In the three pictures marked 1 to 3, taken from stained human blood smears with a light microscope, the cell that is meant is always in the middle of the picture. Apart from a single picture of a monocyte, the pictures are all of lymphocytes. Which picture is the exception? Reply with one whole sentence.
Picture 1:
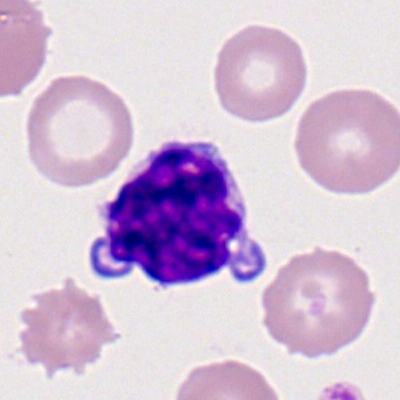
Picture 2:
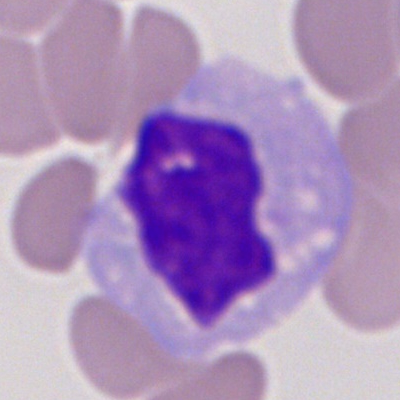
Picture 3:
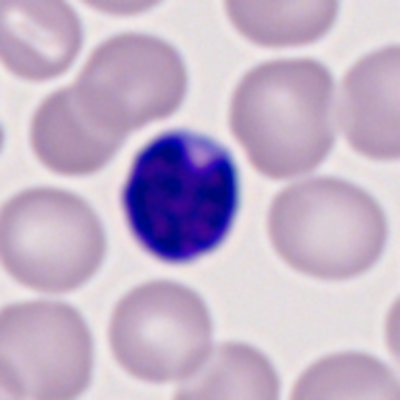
Picture 2 is the one that shows the monocyte.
